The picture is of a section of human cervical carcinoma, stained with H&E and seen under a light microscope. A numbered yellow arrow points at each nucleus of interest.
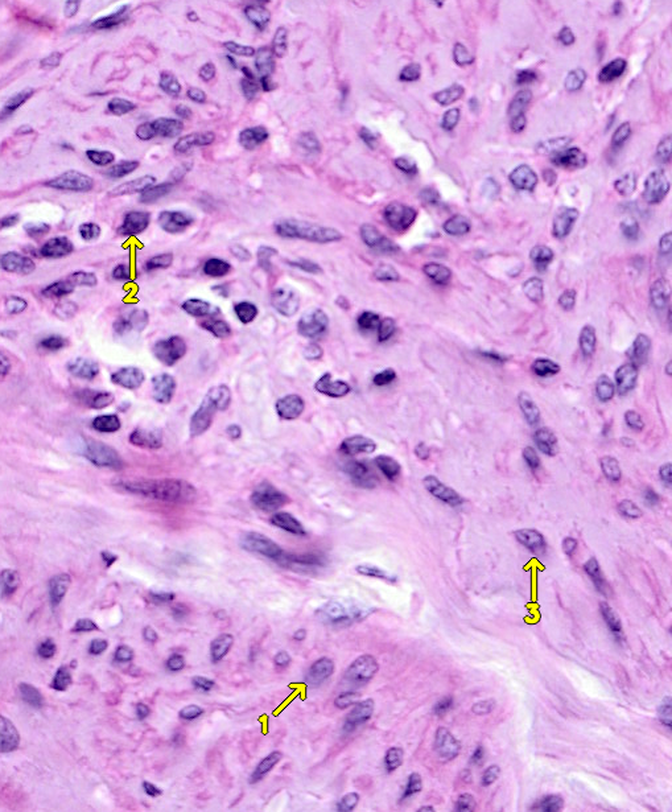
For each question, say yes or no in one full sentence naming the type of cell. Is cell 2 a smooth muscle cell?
No, the nucleus numbered 2 belongs to a lymphocyte, not a smooth muscle cell.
